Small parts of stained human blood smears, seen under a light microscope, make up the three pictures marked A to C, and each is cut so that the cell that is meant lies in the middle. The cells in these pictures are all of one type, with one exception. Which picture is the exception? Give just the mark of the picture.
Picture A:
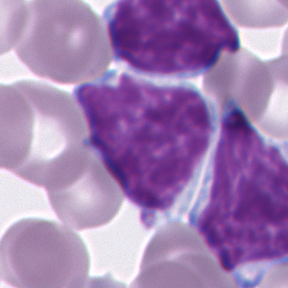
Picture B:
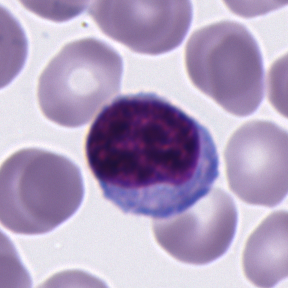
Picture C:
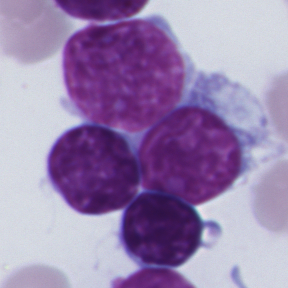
C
